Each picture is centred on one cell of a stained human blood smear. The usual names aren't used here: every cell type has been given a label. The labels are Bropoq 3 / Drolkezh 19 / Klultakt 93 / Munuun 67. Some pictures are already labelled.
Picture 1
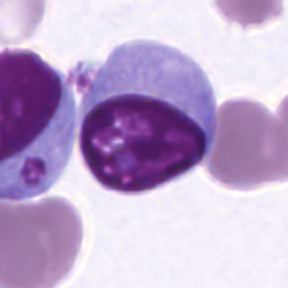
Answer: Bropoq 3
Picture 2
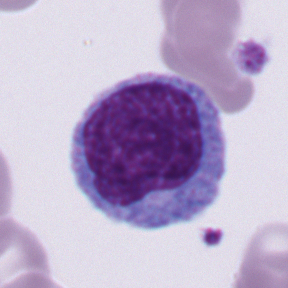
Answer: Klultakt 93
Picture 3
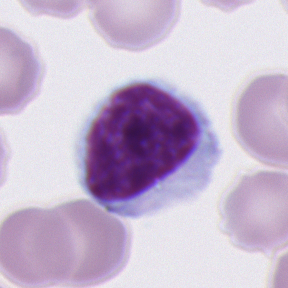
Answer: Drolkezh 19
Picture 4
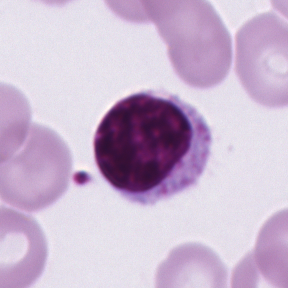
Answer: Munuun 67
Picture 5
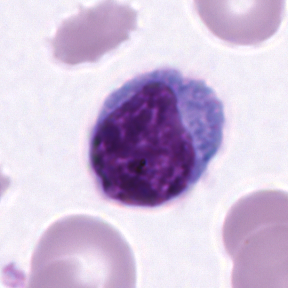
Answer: Bropoq 3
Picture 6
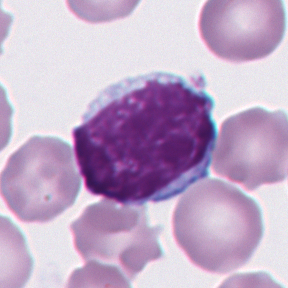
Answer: Drolkezh 19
